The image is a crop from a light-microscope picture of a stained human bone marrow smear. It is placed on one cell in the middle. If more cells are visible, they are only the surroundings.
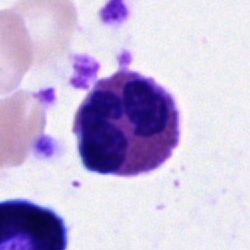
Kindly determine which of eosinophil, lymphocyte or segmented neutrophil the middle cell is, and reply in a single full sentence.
The center cell of this crop is an eosinophil.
